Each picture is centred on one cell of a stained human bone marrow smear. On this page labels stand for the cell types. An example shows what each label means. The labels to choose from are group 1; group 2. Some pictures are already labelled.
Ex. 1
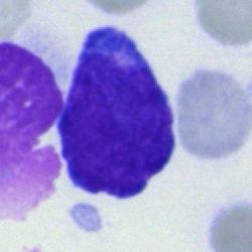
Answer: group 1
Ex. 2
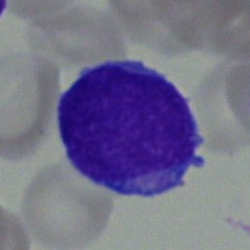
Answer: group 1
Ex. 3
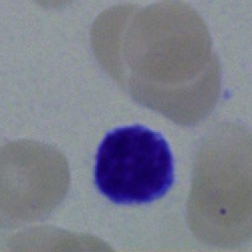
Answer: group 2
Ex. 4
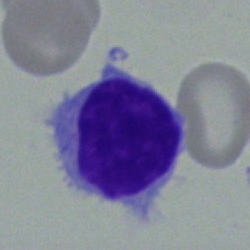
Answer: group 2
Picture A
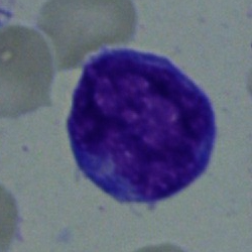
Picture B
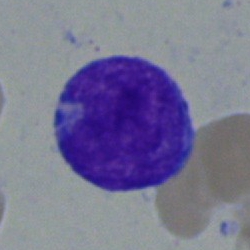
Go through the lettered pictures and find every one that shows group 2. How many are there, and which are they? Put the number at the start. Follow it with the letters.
0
